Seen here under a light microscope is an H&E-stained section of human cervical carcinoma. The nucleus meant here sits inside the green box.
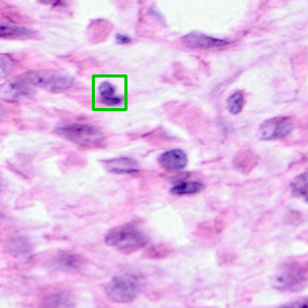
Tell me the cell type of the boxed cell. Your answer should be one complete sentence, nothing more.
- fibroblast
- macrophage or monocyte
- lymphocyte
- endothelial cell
In short, the boxed cell on this section is a lymphocyte.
